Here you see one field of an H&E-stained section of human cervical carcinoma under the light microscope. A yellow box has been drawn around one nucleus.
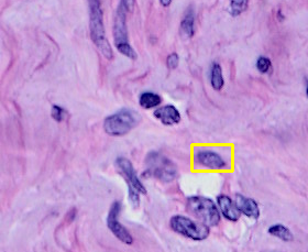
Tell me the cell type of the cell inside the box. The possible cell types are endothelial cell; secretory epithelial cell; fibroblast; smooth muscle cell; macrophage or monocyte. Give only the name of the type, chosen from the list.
endothelial cell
